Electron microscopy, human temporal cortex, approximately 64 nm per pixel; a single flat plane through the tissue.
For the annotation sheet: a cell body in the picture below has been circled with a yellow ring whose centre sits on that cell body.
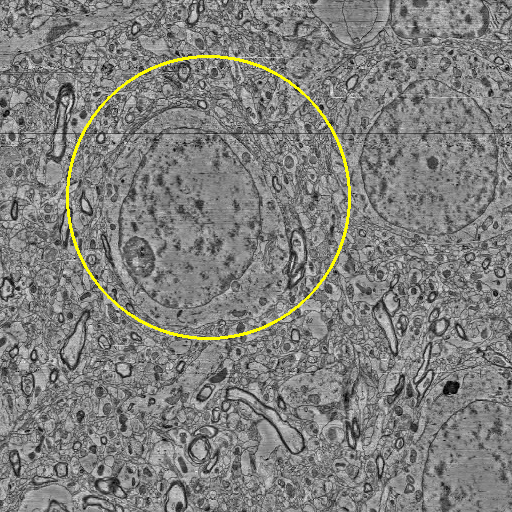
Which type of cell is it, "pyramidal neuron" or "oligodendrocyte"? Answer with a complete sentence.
The circled cell is a pyramidal neuron.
